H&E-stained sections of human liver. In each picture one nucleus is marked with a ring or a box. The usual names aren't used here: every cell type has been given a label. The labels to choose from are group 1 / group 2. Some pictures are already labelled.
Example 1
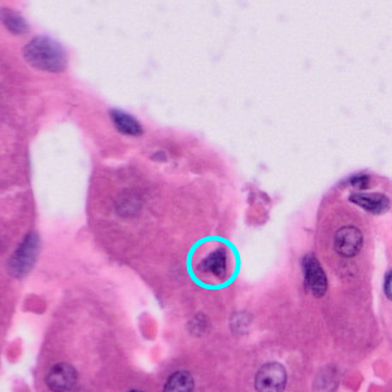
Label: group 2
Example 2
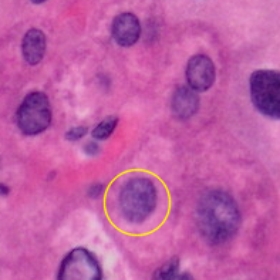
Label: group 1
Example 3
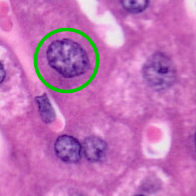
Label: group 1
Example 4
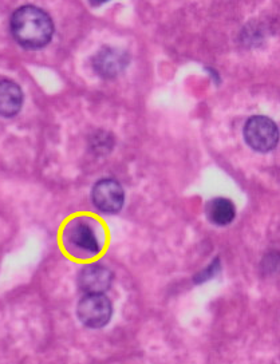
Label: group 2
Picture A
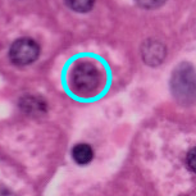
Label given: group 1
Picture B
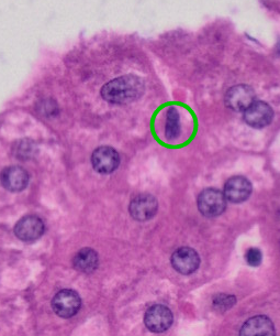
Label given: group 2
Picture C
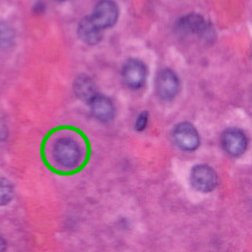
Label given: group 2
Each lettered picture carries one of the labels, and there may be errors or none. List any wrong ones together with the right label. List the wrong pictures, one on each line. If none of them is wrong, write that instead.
C: change group 2 to group 1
